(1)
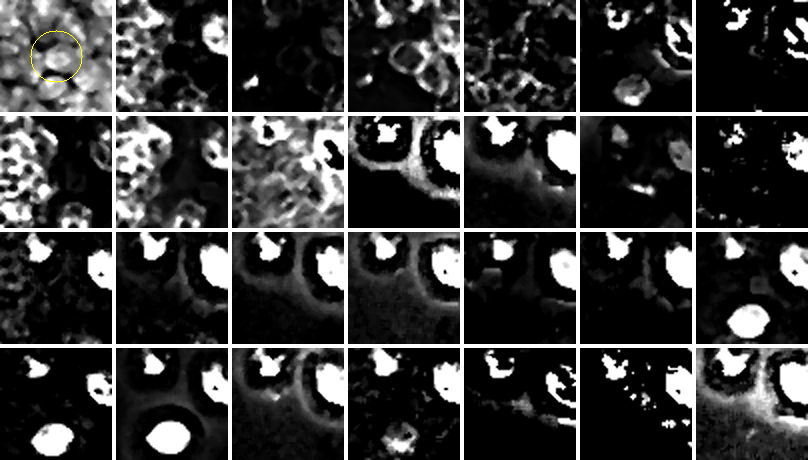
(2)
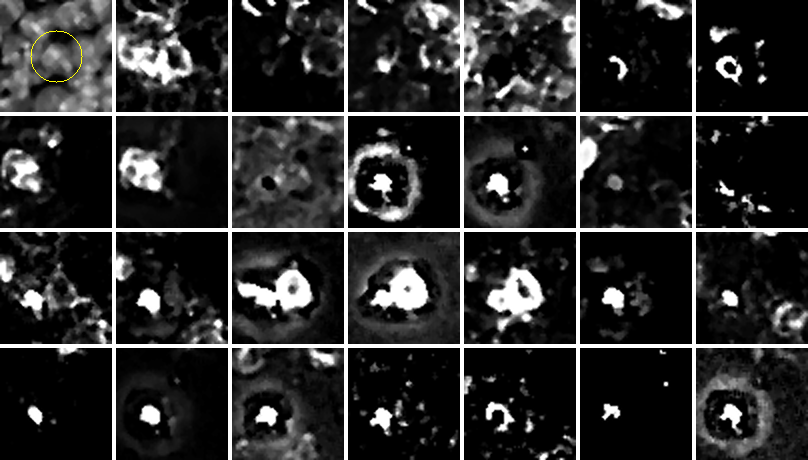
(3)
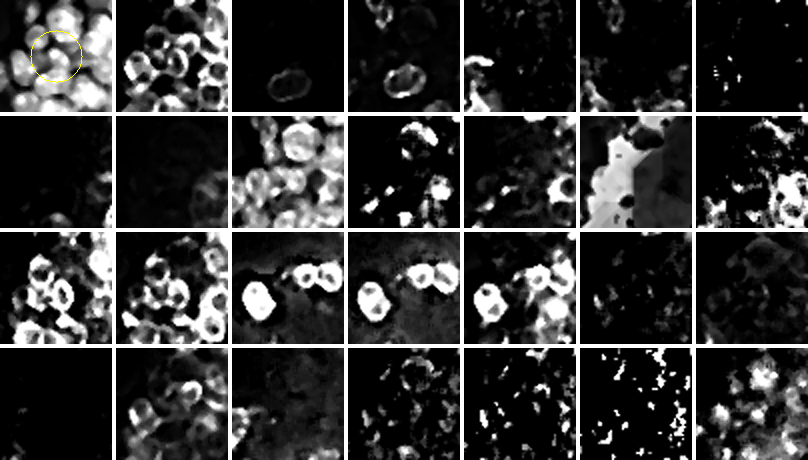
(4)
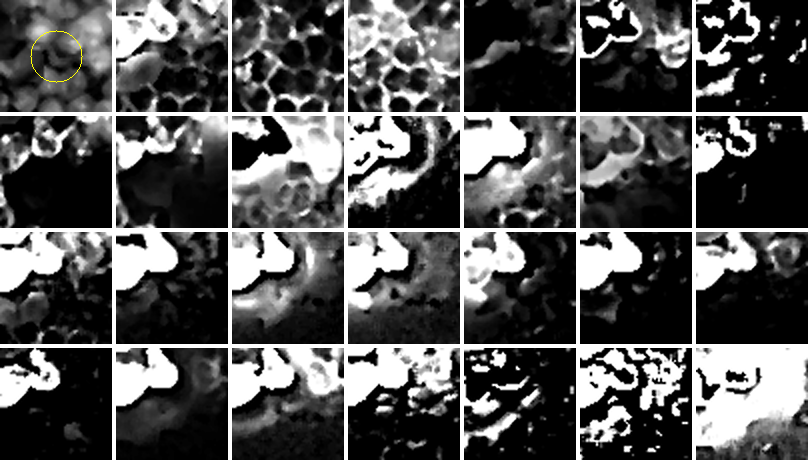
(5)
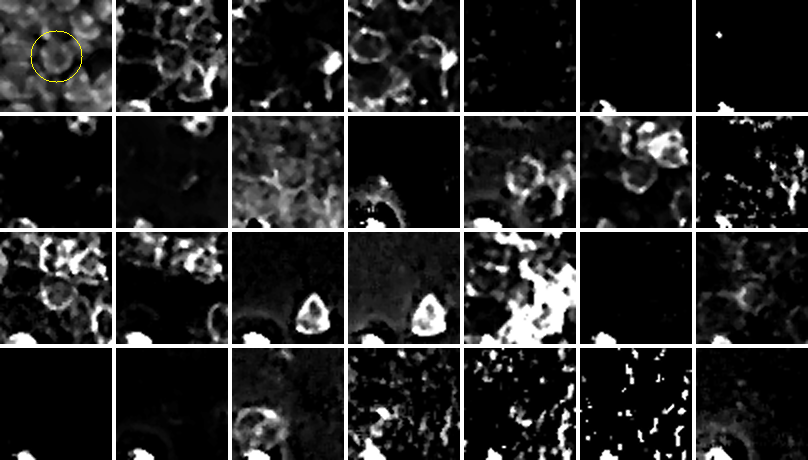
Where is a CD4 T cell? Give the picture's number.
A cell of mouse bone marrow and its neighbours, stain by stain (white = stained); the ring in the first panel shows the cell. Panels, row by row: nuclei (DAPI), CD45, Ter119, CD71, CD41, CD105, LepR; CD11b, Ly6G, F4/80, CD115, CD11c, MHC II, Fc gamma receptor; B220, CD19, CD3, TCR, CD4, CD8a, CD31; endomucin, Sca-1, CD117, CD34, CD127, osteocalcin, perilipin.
2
